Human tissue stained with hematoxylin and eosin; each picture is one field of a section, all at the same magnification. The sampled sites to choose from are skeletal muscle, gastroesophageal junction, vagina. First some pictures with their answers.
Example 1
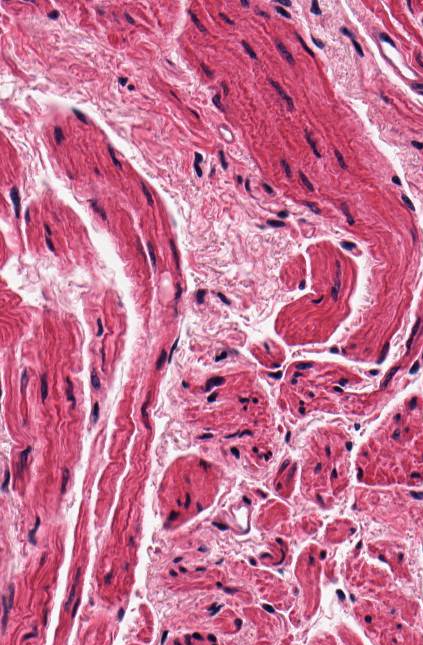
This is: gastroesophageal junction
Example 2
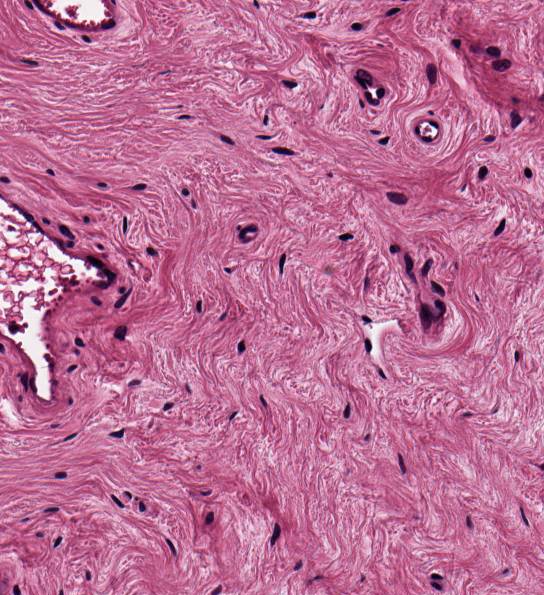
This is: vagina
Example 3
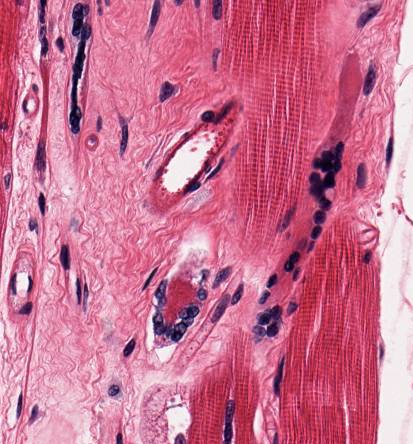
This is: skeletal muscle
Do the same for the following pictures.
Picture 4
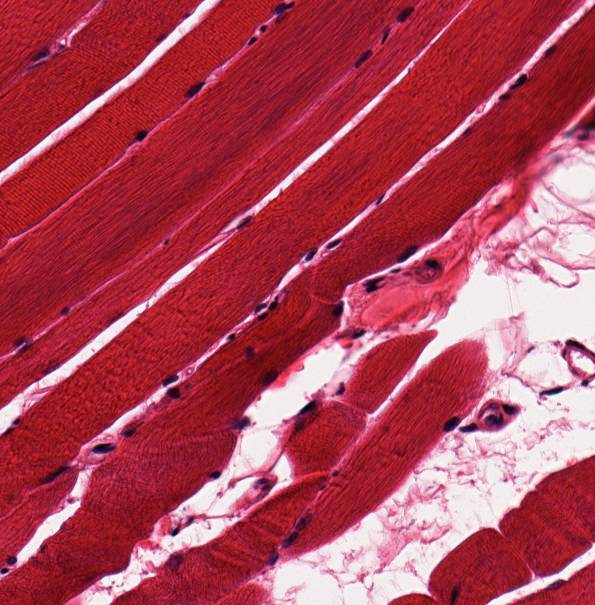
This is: skeletal muscle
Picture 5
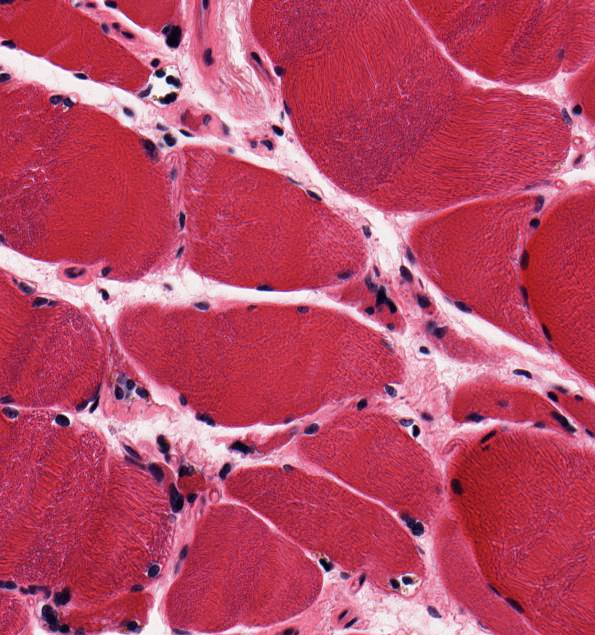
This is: skeletal muscle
